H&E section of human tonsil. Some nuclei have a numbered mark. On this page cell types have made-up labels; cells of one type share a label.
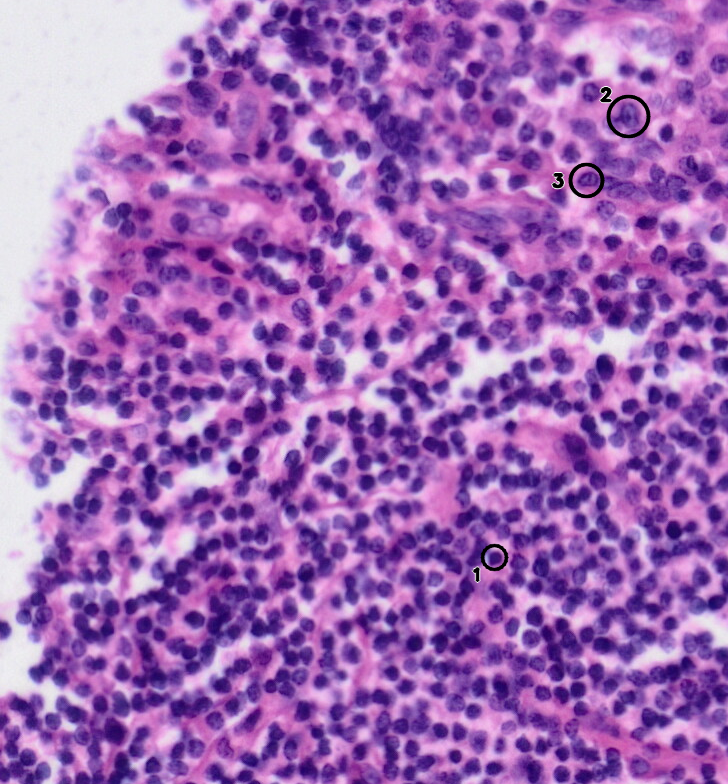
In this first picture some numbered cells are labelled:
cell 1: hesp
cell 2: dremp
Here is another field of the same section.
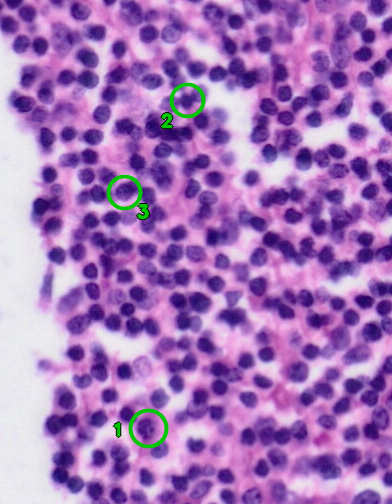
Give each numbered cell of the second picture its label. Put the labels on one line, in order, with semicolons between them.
dremp; hesp; hesp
